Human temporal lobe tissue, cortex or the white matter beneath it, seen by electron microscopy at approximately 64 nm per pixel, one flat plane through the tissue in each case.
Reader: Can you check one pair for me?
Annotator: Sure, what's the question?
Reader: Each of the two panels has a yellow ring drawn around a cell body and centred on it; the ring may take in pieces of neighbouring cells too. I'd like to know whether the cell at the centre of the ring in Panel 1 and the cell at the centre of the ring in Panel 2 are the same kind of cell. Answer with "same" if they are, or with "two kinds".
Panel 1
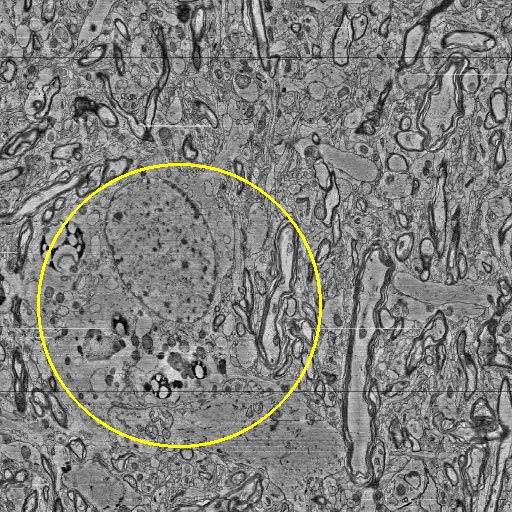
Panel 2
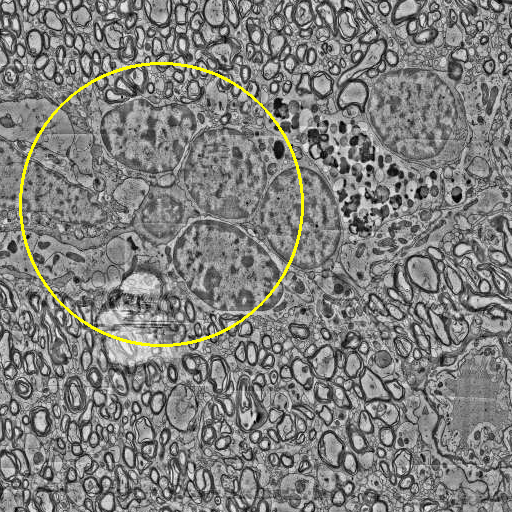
two kinds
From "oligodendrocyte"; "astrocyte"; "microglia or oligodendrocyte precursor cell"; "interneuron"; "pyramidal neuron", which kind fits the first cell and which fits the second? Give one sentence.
The cell marked in the first picture is an astrocyte, and the one marked in the second is an oligodendrocyte.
